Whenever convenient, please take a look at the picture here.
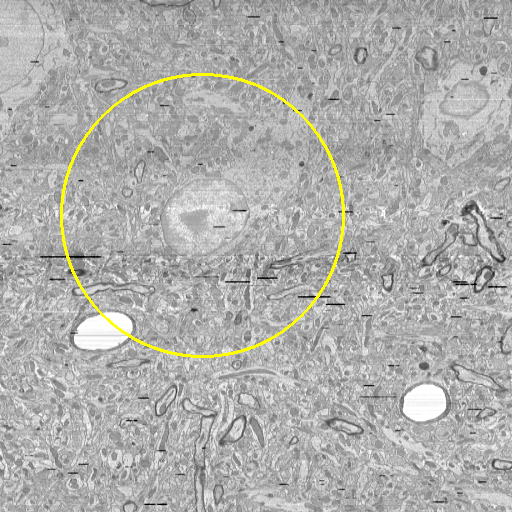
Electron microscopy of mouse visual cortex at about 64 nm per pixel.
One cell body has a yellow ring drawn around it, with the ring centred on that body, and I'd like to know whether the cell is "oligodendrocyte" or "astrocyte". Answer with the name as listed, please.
oligodendrocyte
